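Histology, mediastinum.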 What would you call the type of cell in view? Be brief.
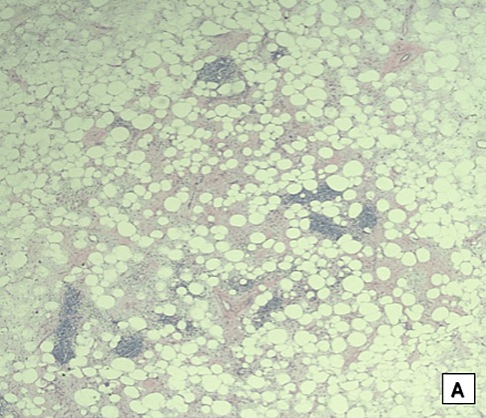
Mature, normal-appearing adipocytes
